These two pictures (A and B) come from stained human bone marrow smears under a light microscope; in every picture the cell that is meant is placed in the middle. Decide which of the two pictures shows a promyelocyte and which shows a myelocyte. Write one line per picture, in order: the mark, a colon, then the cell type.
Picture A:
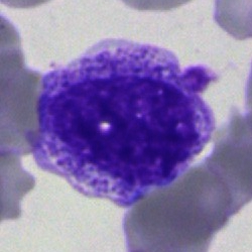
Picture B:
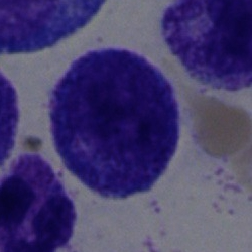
A: myelocyte
B: promyelocyte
